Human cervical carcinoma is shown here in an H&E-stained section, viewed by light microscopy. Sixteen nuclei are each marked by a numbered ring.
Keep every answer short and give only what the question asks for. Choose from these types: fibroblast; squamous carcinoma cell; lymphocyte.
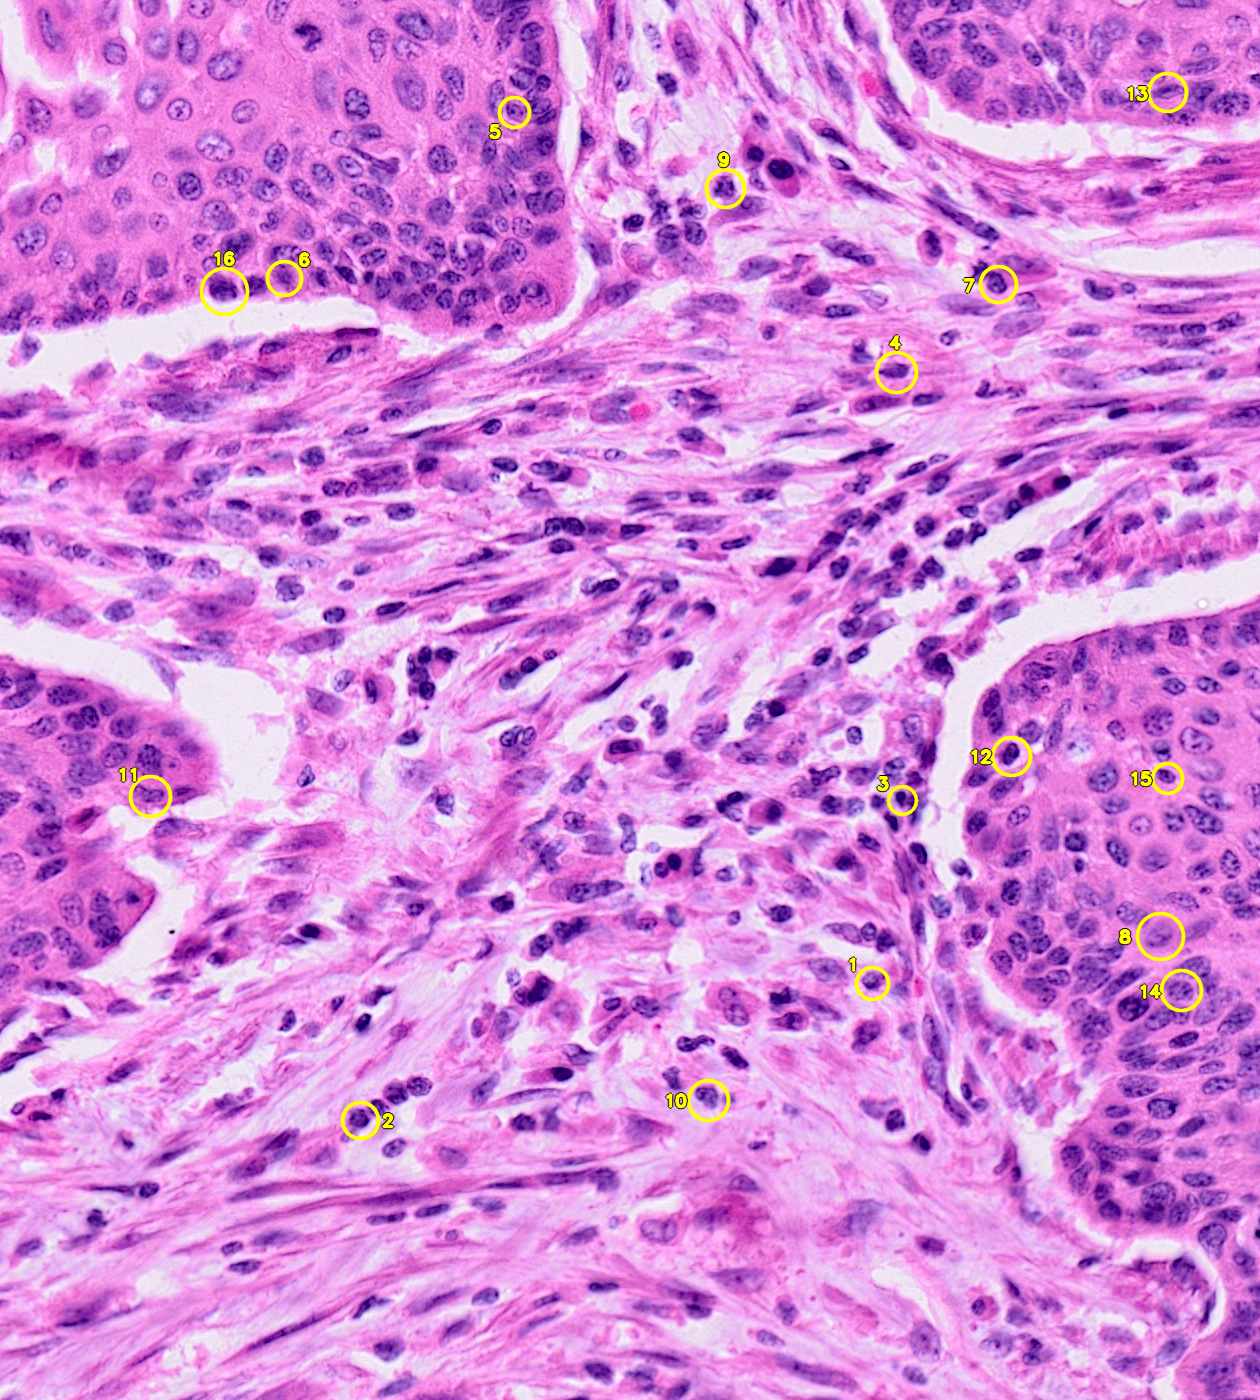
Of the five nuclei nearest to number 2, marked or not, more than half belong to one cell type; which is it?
lymphocyte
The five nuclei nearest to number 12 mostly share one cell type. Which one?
squamous carcinoma cell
